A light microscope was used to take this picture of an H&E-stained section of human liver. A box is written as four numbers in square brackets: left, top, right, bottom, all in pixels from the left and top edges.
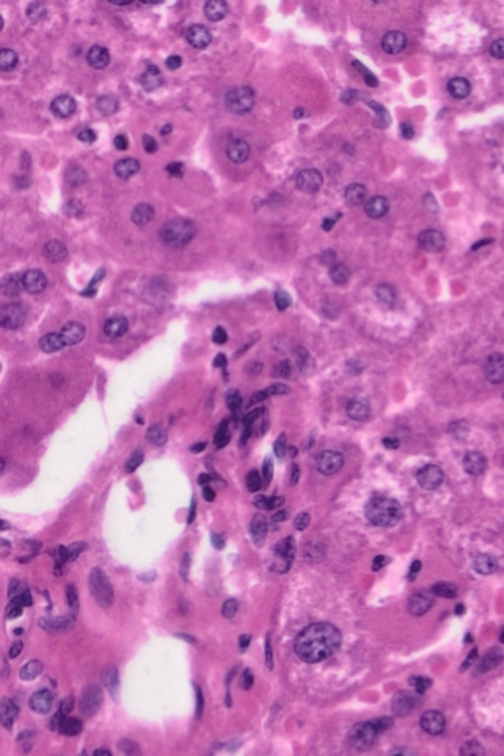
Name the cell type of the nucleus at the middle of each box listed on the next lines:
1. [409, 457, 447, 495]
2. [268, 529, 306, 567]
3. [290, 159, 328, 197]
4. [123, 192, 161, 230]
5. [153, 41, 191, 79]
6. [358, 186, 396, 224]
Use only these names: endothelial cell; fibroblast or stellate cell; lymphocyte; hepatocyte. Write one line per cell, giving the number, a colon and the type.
1: hepatocyte
2: fibroblast or stellate cell
3: hepatocyte
4: hepatocyte
5: lymphocyte
6: hepatocyte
